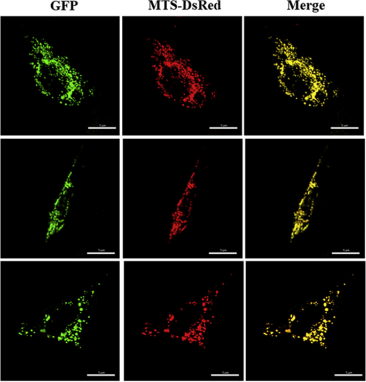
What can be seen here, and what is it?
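These are single cultured cells in which small organelles are shown by green and red fluorescence against a black background. In each cell the green signal lies in many small dots and short threads spread through the cytoplasm, gathered most densely around an unlabelled central space where the nucleus lies. The red signal has the same dotted and threadlike pattern in the same places. Where the two colours are laid over each other the dots and threads appear yellow, showing that the green and red overlap closely. The cells vary in outline, some rounded and some more elongated.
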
